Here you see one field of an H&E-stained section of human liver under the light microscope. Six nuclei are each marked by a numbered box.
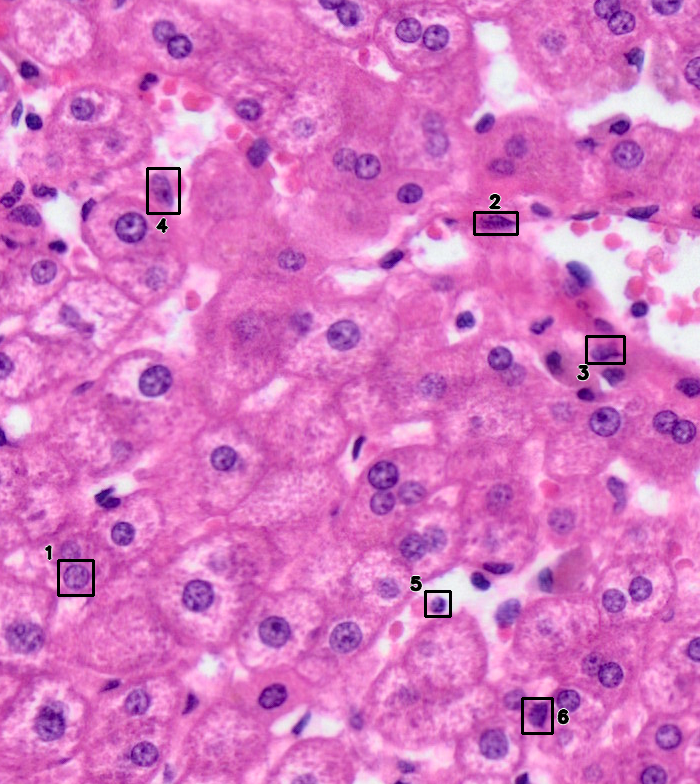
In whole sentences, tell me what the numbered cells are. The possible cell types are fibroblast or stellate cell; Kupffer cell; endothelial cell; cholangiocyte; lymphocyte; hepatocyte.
Cell 1 is a hepatocyte, cell 2 is a fibroblast or stellate cell, cell 3 is a fibroblast or stellate cell, cell 4 is a Kupffer cell, cell 5 is a lymphocyte and cell 6 is a fibroblast or stellate cell.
